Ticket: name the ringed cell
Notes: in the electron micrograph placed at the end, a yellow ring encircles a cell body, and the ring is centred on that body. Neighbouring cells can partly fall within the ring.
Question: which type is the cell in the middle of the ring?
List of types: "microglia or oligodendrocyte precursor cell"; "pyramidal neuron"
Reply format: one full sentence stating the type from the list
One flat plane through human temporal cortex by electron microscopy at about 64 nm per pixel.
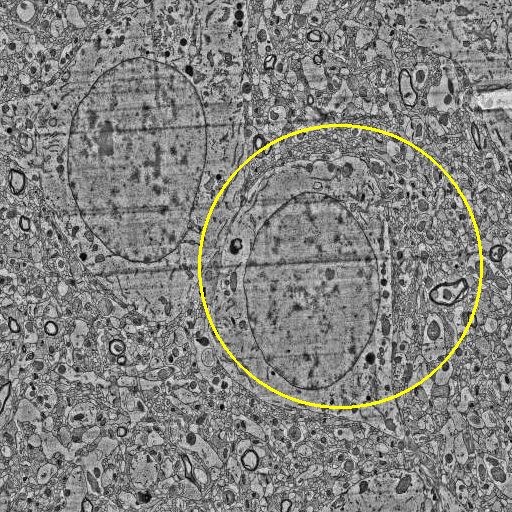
The cell sitting at the centre of the yellow ring is a pyramidal neuron.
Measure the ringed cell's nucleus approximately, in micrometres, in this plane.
The nucleus has a long axis of about 12 micrometres and a short axis of about 9 micrometres in this plane.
